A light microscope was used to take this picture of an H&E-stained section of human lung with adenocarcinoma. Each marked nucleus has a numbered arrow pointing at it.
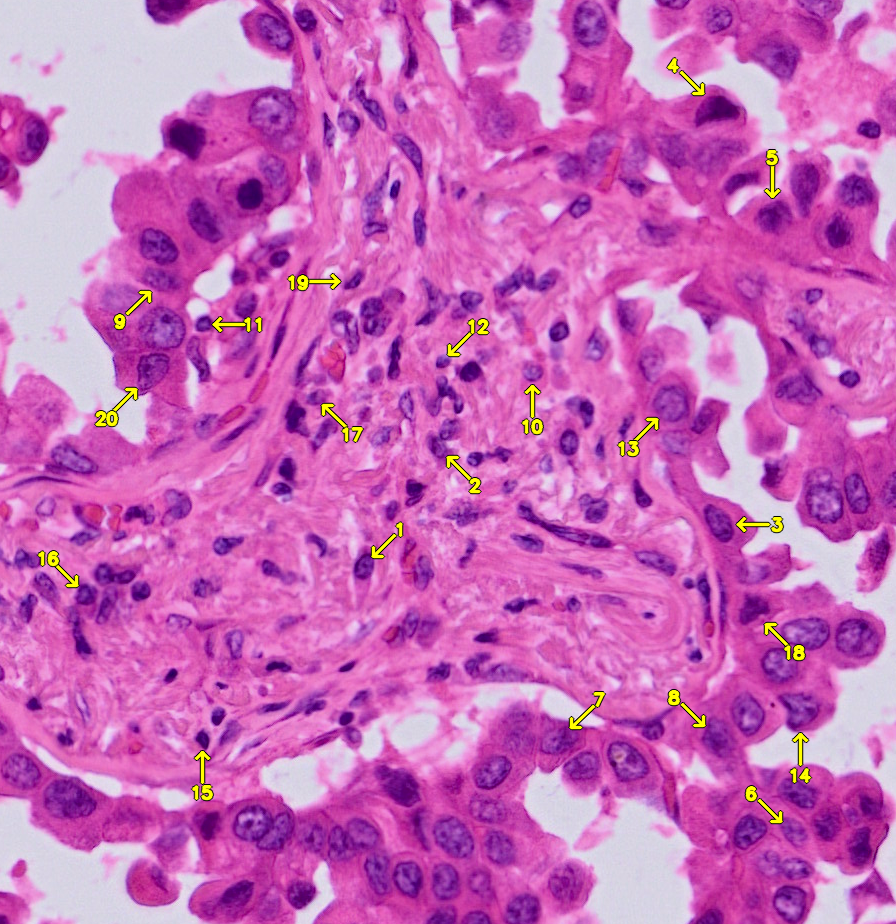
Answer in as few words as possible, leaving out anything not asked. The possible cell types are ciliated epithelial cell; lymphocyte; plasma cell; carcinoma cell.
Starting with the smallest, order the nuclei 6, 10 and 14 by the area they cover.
10, 6, 14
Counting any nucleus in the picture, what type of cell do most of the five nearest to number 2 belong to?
lymphocyte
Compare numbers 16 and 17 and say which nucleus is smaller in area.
17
